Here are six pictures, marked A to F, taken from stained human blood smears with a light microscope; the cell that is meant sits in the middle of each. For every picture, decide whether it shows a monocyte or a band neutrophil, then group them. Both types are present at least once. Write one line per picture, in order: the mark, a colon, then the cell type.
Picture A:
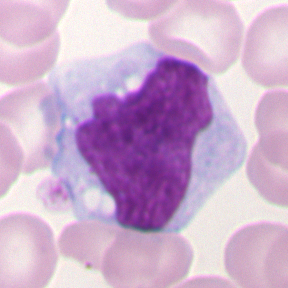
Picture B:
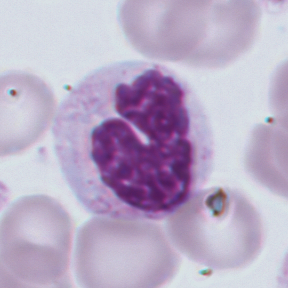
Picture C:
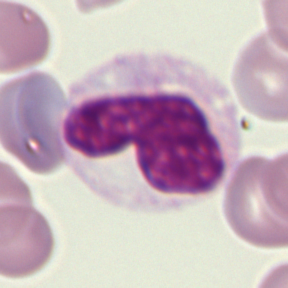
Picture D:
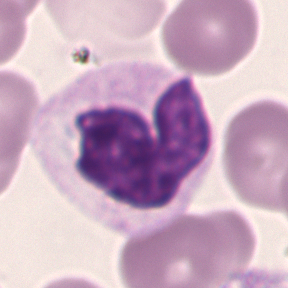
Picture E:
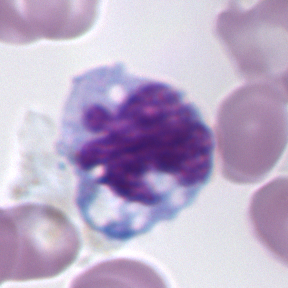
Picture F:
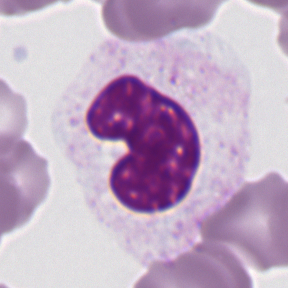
A: monocyte
B: band neutrophil
C: band neutrophil
D: band neutrophil
E: monocyte
F: band neutrophil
